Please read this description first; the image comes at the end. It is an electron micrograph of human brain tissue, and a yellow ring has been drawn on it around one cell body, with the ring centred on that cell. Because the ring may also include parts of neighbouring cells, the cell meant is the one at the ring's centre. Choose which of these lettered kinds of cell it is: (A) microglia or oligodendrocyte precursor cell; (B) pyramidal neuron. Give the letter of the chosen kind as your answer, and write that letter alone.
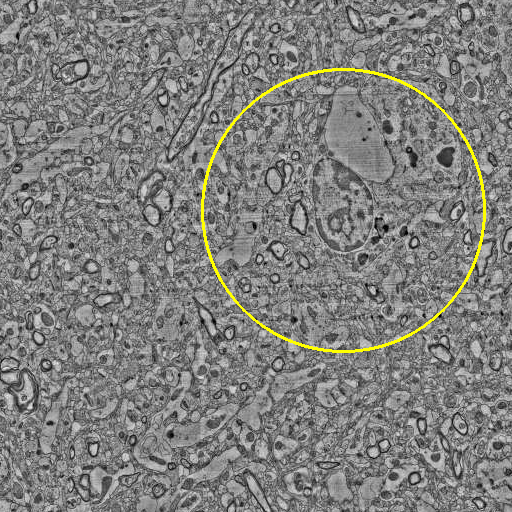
A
